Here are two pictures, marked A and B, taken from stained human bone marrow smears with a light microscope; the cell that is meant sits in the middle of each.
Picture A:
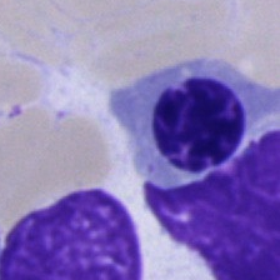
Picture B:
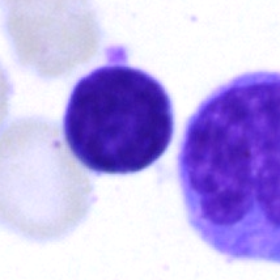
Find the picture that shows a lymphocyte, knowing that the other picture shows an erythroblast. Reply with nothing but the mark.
B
